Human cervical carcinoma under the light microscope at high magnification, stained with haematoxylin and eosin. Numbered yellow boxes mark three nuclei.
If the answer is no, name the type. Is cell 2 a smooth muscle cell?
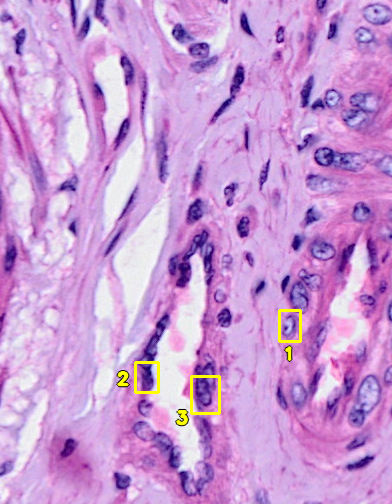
No, it is an endothelial cell.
